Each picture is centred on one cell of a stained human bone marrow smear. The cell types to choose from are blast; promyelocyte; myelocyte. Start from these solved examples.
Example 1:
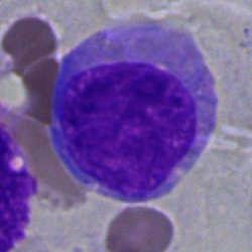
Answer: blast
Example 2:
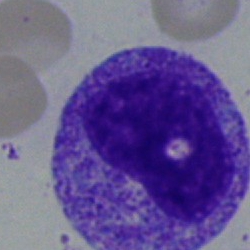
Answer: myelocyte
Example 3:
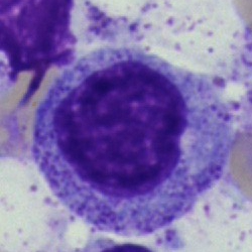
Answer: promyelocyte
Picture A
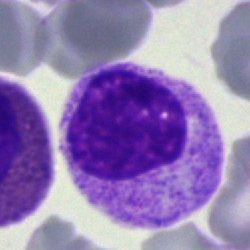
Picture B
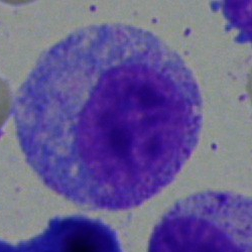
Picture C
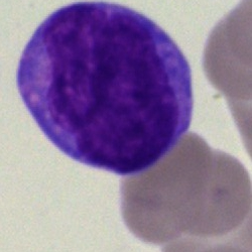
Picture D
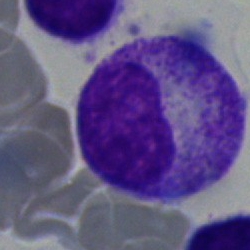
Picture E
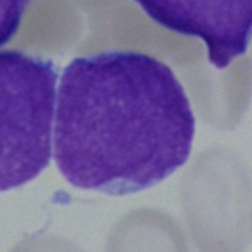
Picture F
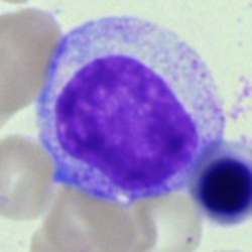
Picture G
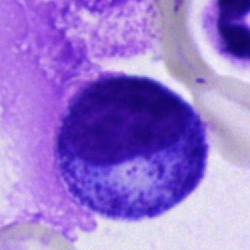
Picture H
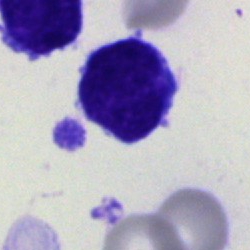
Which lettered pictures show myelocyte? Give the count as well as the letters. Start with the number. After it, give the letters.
4, namely A, B, D, F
